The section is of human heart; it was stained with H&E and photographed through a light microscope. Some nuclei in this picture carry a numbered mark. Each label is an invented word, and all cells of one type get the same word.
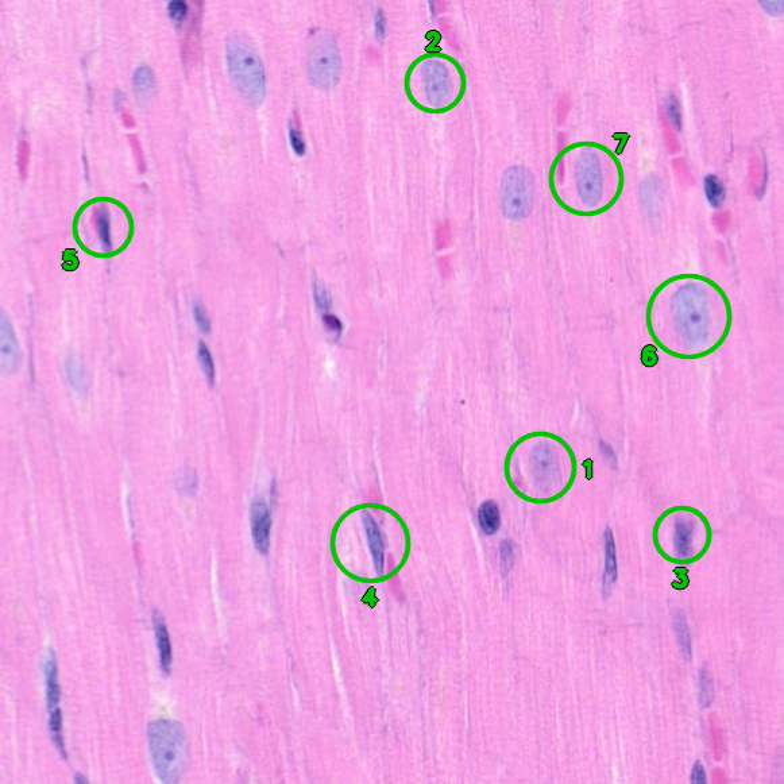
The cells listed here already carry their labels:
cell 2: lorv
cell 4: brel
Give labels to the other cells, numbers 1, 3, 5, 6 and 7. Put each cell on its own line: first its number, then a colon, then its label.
1: lorv
3: brel
5: brel
6: lorv
7: lorv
